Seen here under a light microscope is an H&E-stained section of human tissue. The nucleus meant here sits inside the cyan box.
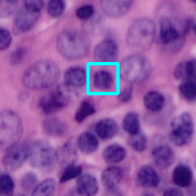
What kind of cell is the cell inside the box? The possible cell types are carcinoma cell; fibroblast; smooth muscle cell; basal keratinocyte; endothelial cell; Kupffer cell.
endothelial cell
